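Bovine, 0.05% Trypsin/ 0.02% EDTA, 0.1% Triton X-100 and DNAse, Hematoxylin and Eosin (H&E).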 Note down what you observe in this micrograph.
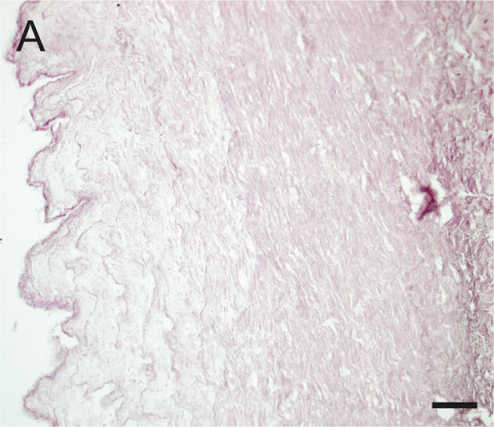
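This is a section through the wall of an artery, seen as a broad band of pale pink, wavy fibrous tissue with a scalloped, folded edge on the left where the lumen would be. The fibres run roughly parallel to one another and are separated by small clear clefts. No purple-blue nuclei can be made out anywhere in the wall, so no cells appear to remain. Only a single small darker purple fleck is seen on the right, without the shape of a nucleus.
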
